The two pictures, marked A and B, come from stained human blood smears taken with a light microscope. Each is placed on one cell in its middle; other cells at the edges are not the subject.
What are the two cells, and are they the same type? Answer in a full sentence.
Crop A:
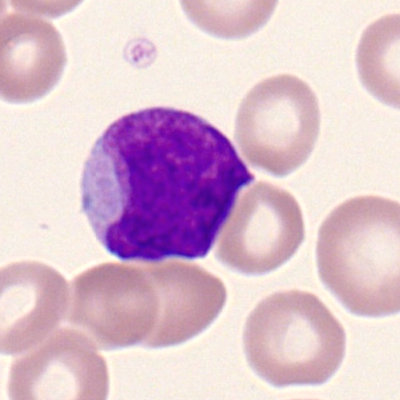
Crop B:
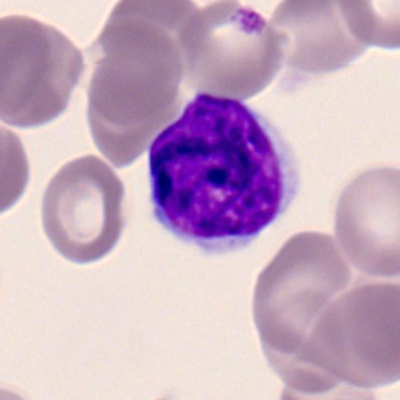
No, in fact crop A shows a myeloblast, and crop B shows a lymphocyte.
